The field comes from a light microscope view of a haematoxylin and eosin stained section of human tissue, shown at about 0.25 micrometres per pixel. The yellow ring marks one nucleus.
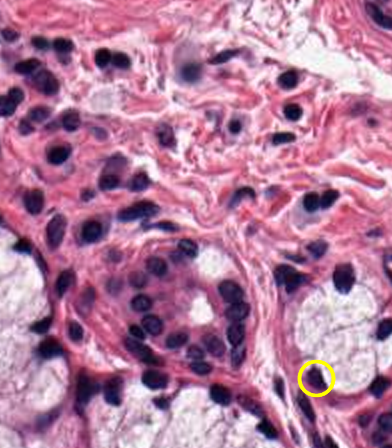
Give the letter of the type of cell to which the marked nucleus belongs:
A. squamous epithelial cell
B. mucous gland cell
B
